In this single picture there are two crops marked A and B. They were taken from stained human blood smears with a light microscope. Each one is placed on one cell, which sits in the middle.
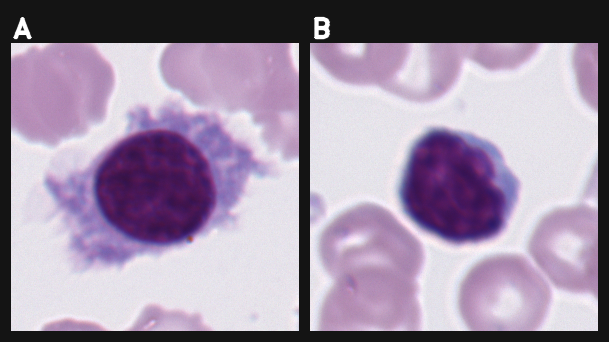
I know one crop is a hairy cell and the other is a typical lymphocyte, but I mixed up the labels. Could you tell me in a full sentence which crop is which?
The cell that crop A centres on is a hairy cell, and the cell that crop B centres on is a typical lymphocyte.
